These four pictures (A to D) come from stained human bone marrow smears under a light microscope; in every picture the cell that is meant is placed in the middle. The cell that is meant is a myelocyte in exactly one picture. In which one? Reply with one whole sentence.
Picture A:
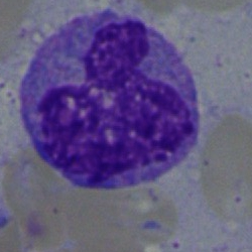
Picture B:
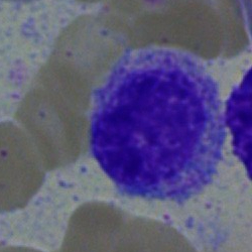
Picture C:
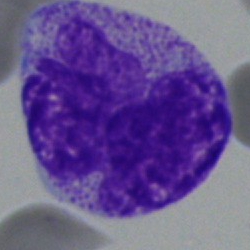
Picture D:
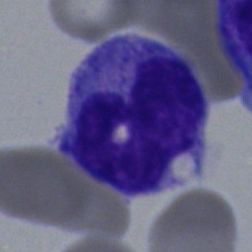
It is picture B that shows the myelocyte.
